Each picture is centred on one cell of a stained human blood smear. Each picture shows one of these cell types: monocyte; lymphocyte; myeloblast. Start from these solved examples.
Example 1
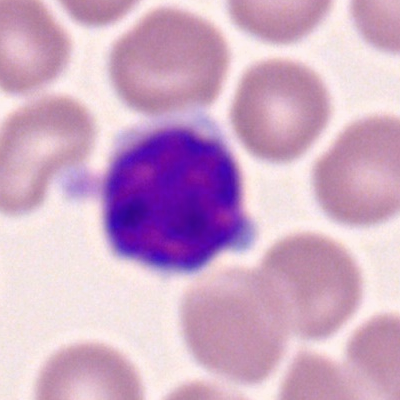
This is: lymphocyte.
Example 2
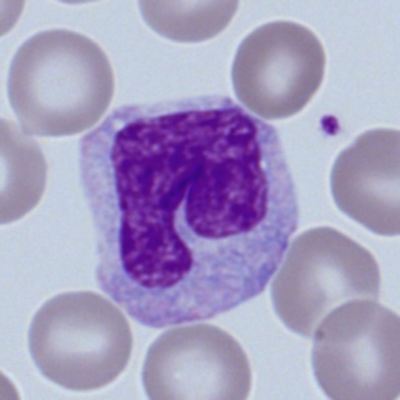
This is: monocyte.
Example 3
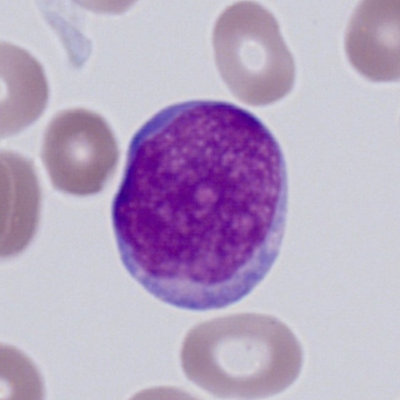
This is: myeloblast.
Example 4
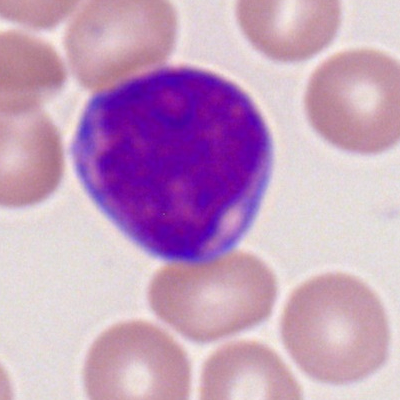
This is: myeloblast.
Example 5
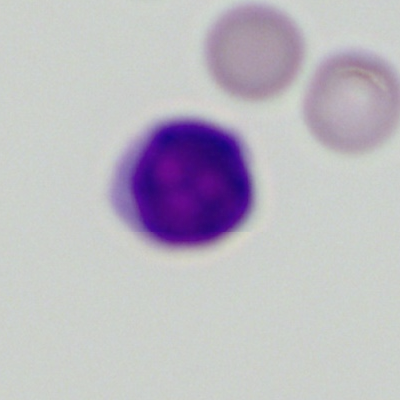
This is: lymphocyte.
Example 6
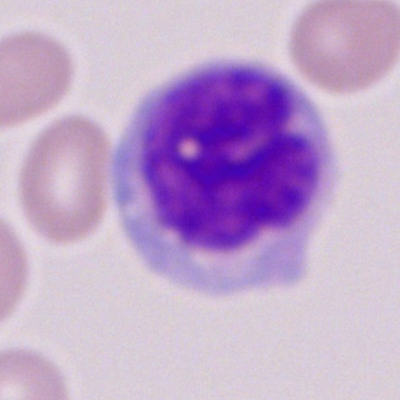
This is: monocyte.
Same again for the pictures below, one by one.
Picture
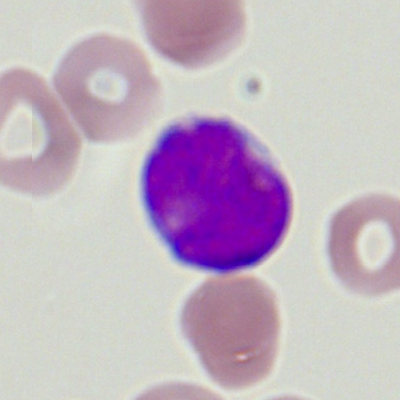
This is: myeloblast.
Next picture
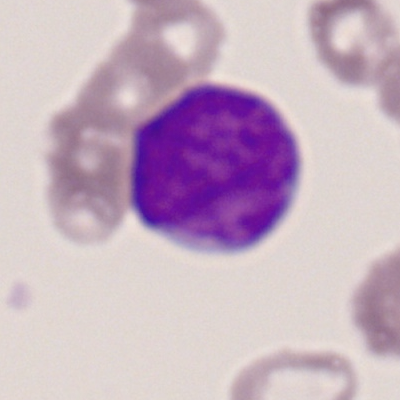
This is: myeloblast.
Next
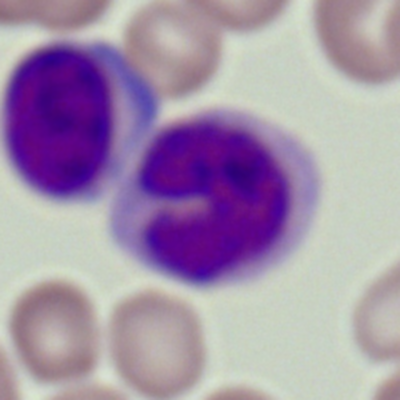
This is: monocyte.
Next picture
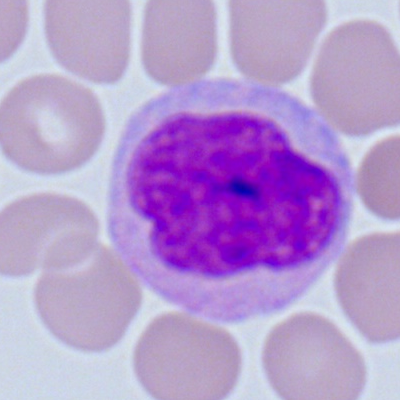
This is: monocyte.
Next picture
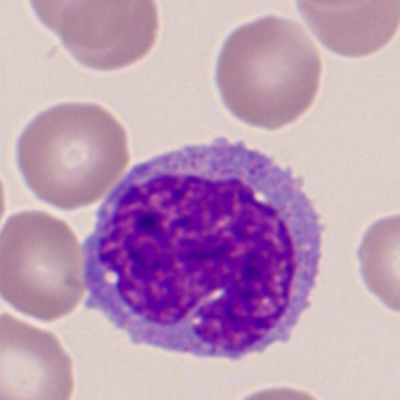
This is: monocyte.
